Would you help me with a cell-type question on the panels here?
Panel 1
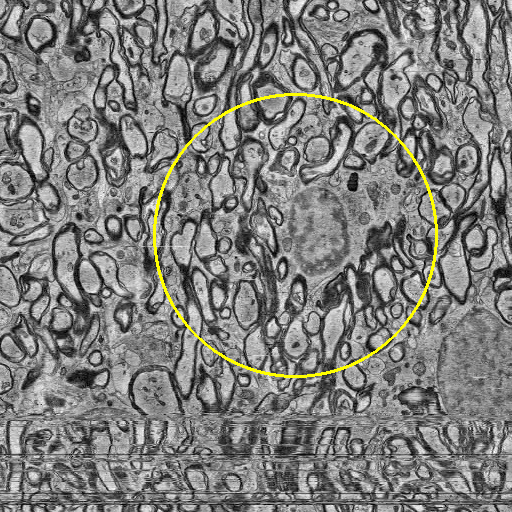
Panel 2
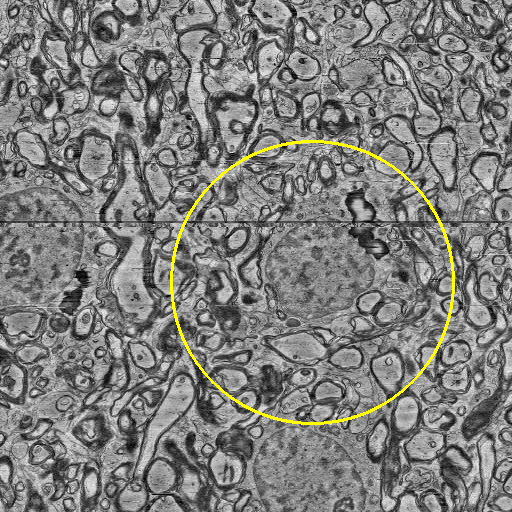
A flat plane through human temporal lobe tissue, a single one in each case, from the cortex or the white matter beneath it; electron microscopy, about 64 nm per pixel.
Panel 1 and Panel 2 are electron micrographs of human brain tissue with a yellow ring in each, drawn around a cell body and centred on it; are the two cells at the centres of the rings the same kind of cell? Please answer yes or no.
yes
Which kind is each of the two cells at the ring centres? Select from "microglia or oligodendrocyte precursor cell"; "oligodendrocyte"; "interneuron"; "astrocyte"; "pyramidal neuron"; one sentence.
In each picture the ringed cell is an oligodendrocyte.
